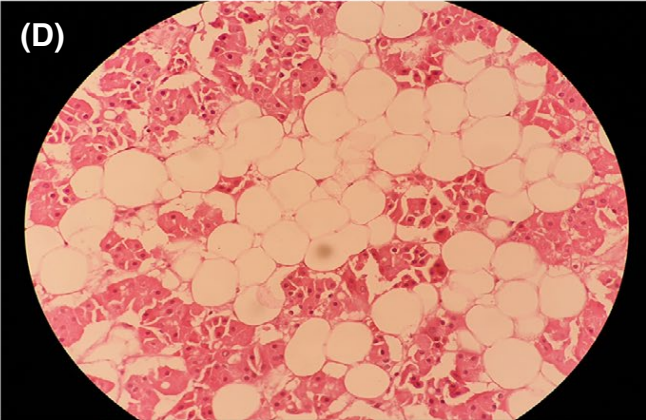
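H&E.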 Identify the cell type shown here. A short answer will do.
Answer: Adipocytes.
